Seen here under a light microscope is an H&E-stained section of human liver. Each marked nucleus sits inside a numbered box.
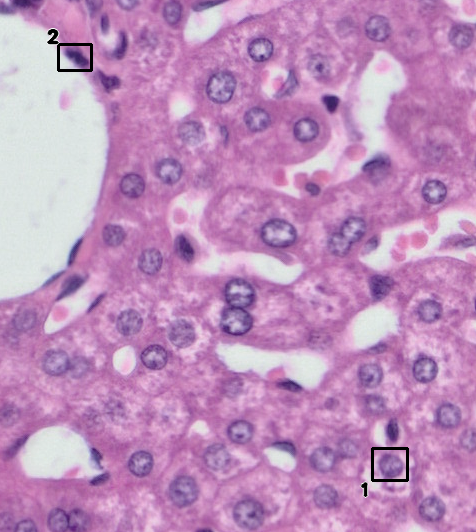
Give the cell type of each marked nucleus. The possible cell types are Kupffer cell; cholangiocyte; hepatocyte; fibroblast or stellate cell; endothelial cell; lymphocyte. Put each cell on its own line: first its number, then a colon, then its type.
1: hepatocyte
2: fibroblast or stellate cell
